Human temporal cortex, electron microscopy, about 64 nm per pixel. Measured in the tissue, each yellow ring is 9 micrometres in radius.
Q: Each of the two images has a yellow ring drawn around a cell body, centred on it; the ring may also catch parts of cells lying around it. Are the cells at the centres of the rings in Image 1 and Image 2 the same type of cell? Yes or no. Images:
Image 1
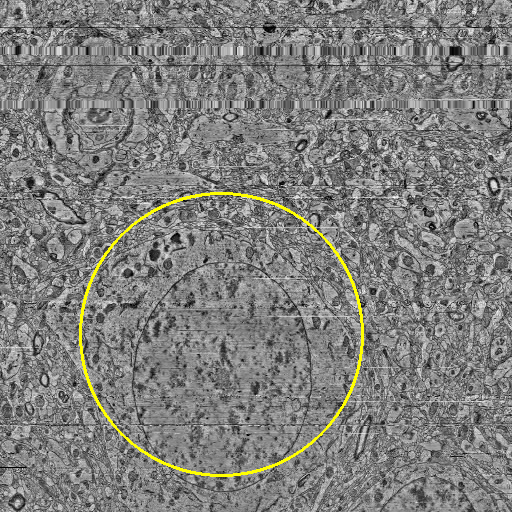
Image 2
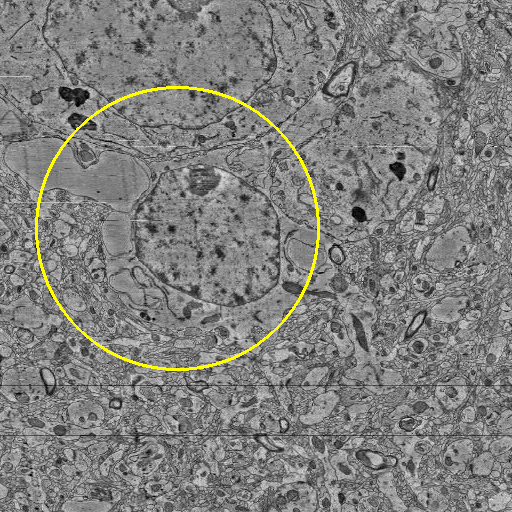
no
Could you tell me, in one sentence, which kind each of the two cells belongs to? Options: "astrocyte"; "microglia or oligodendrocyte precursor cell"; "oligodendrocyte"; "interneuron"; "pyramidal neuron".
At the centre of the first ring sits a pyramidal neuron, and at the centre of the second sits an astrocyte.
